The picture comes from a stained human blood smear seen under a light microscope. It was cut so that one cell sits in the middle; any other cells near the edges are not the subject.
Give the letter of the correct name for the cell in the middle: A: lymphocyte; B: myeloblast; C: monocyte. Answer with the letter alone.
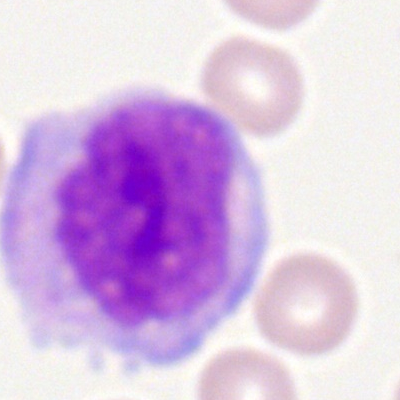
C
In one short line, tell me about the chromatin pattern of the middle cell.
Answer: the chromatin is fine and has no coarse clumps.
